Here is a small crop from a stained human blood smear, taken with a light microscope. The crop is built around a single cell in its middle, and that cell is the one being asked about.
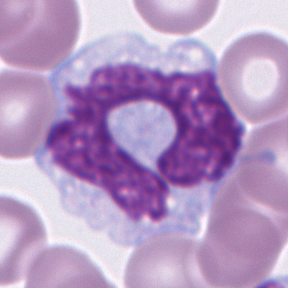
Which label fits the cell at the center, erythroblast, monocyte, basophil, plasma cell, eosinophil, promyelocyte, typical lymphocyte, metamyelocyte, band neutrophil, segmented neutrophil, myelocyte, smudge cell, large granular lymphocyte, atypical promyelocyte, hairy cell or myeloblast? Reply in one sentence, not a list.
At the middle of the frame sits a monocyte.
